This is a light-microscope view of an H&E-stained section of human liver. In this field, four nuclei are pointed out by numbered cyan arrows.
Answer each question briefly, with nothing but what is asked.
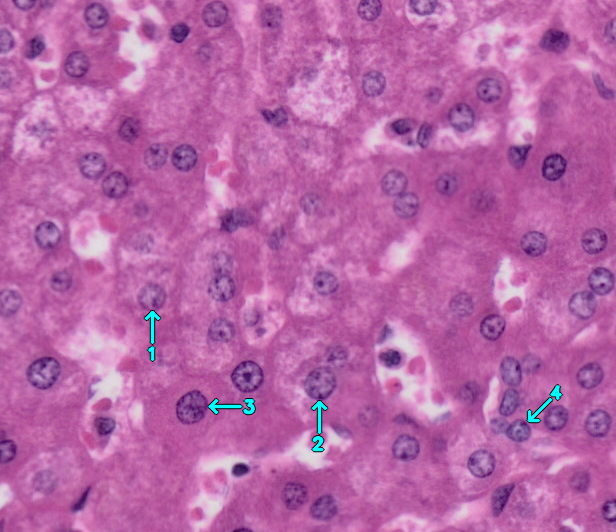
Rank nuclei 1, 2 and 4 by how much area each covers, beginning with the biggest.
2, 1, 4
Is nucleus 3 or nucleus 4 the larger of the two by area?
3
